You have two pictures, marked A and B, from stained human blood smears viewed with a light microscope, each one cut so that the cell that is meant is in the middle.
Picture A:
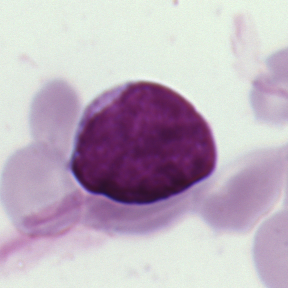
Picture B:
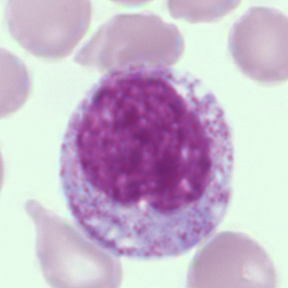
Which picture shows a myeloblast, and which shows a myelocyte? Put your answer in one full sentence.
Picture A is of a myeloblast, and picture B is of a myelocyte.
